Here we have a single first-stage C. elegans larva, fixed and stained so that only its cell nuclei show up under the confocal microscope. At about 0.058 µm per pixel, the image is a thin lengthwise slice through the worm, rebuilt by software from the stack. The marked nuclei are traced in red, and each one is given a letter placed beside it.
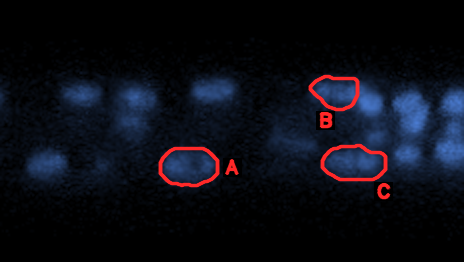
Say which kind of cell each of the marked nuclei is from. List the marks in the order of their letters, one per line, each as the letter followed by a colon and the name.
A: seam cell
B: P cell (ventral epidermal blast cell)
C: P cell (ventral epidermal blast cell)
